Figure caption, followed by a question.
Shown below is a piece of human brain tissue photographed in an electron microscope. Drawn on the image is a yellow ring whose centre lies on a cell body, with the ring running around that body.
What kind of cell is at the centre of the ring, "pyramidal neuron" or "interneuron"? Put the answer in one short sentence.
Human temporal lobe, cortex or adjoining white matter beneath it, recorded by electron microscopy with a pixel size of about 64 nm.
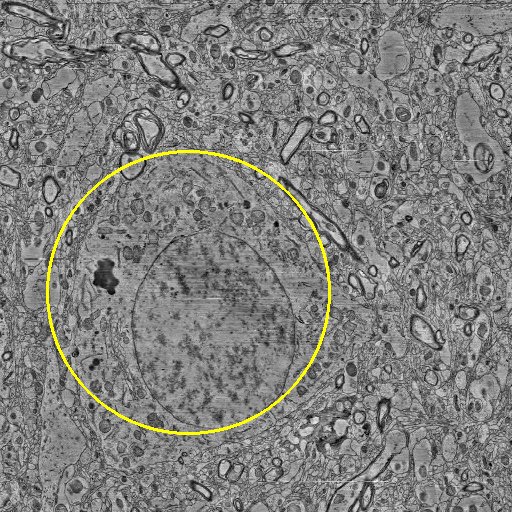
The ring marks the cell body of an interneuron.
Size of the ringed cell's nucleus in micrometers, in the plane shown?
The nucleus of the ringed cell is approximately 13 by 10 micrometres in this plane.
